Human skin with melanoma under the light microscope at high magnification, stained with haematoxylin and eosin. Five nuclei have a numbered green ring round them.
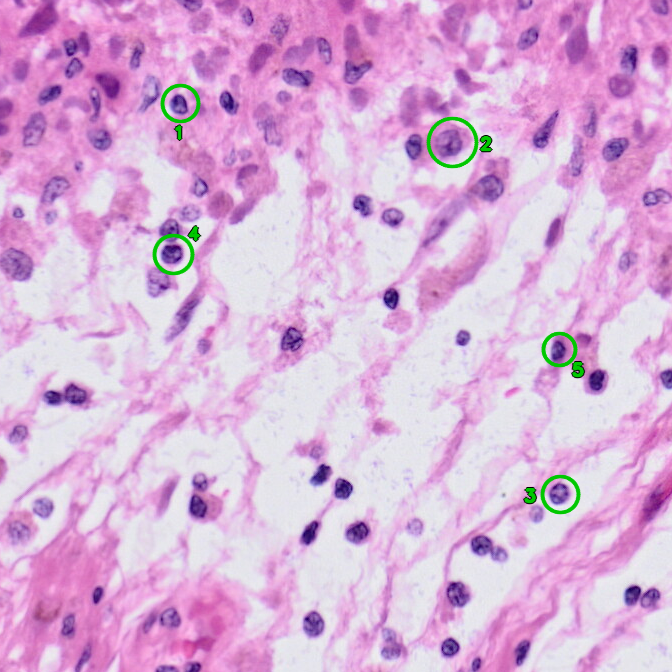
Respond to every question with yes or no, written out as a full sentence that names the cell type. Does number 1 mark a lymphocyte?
Yes, the numbered cell 1 is identified as a lymphocyte.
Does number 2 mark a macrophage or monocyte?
Yes, the one numbered 2 is a macrophage or monocyte.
